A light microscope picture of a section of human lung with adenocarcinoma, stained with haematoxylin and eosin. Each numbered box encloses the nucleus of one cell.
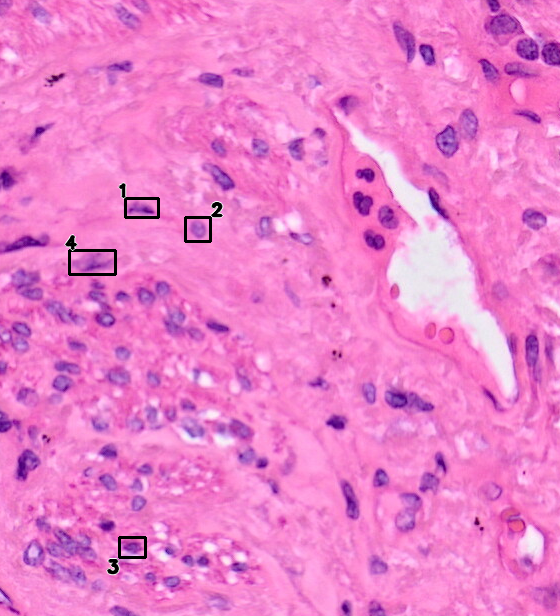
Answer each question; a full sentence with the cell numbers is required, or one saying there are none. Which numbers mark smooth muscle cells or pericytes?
Only nucleus 3 belongs to a smooth muscle cell or pericyte; the other numbered nuclei do not.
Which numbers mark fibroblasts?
Identified as fibroblasts are the cells numbered 1 and 4.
